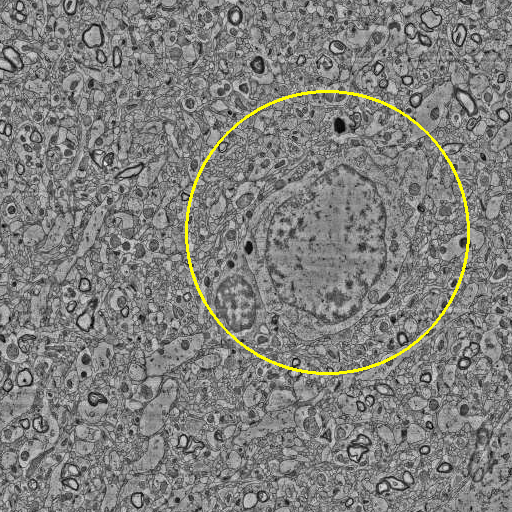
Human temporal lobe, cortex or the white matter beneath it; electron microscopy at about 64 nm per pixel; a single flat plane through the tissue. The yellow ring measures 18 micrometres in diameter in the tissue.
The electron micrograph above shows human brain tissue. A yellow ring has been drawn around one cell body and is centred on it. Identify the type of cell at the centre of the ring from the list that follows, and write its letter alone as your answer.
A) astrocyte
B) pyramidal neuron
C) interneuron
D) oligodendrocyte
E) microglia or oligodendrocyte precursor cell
C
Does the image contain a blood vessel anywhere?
No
